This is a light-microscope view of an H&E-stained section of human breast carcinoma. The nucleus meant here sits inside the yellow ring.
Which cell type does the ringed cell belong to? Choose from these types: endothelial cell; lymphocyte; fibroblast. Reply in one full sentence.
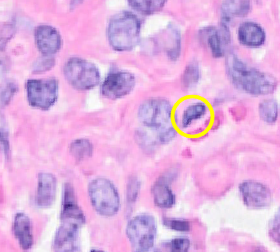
Right, so the ringed cell is an endothelial cell, to answer that.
